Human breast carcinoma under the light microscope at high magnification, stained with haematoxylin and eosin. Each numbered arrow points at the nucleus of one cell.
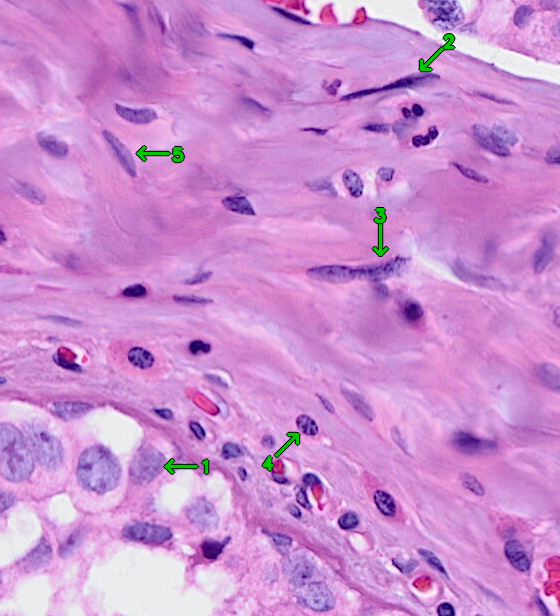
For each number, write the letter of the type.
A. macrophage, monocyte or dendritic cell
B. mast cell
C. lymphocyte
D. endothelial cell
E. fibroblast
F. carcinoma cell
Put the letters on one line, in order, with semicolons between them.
F; E; E; B; E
